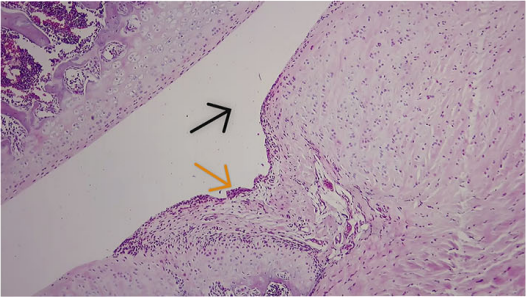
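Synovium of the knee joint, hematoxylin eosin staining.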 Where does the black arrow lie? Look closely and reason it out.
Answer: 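The arrow lies in a wide empty white space bounded by cartilage and soft tissue.
Conclusion: articular cavity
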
